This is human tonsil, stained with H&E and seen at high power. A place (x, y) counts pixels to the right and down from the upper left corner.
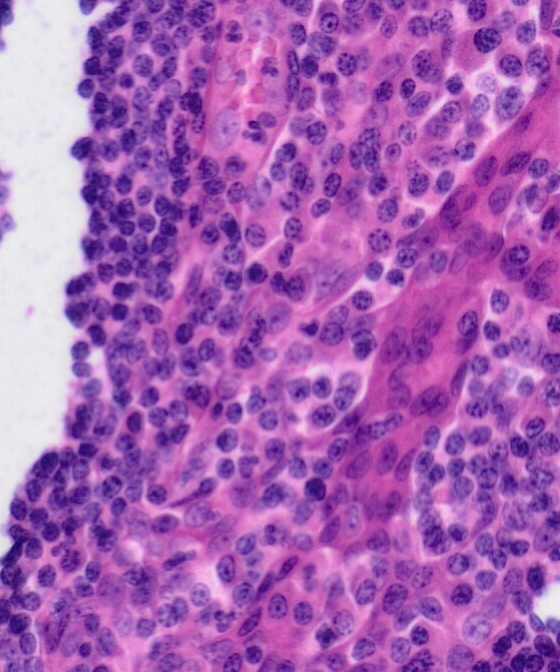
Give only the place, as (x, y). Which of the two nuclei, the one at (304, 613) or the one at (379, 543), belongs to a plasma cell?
(304, 613)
